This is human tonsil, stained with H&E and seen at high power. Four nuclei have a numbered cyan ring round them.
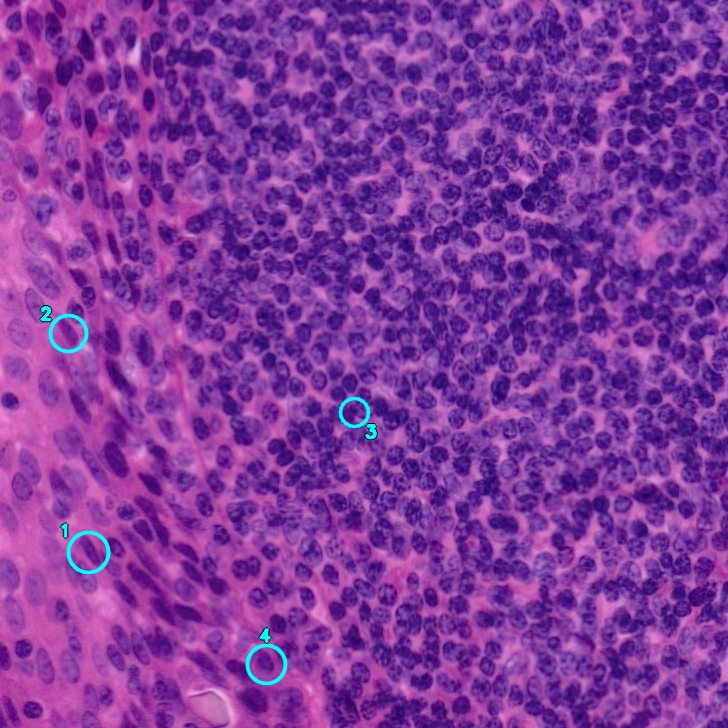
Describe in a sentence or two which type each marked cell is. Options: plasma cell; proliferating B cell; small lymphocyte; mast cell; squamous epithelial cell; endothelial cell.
Cell 1 is a squamous epithelial cell, cell 2 is a squamous epithelial cell, cell 3 is a small lymphocyte and cell 4 is a squamous epithelial cell.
